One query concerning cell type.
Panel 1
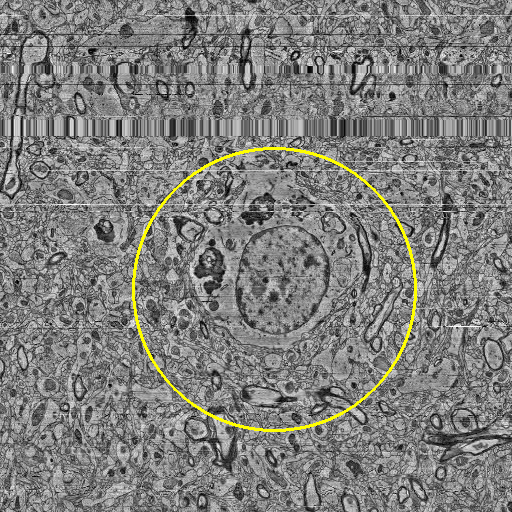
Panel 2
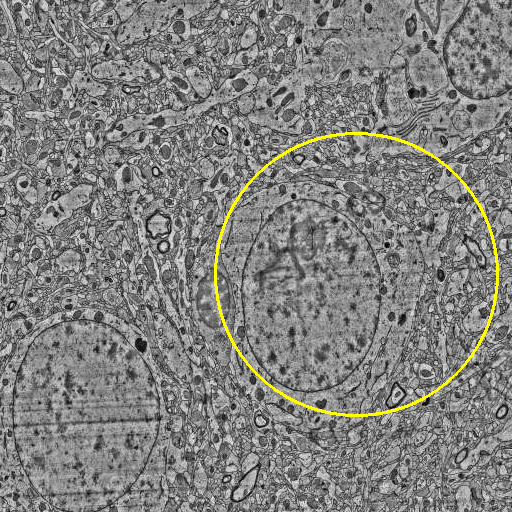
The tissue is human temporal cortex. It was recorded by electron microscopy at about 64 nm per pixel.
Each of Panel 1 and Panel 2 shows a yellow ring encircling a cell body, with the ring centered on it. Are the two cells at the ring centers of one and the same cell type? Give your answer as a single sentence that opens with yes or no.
No, the cell centered in Panel 1 and the one in Panel 2 are of two types.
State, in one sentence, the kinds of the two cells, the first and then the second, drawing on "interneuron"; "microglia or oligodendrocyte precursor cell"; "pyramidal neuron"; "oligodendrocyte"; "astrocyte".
The ring in the second picture is centred on a pyramidal neuron, the ring in the first on an astrocyte.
